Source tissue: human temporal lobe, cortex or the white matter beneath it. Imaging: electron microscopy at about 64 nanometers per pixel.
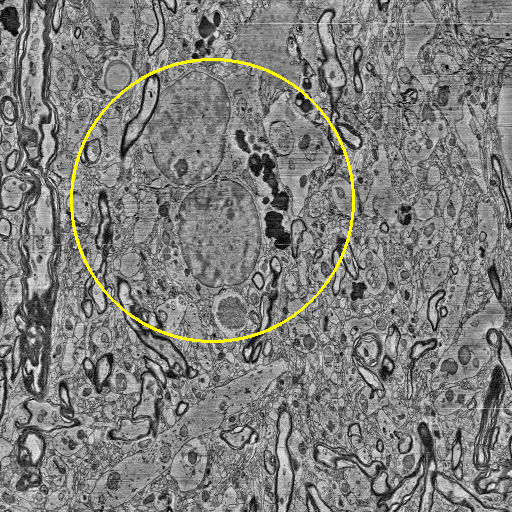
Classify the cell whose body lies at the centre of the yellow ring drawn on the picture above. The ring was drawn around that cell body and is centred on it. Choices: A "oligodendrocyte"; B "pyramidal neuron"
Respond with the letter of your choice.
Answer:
A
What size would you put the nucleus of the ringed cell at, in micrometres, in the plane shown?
The nucleus of the ringed cell is approximately 8 by 5 micrometres in this plane.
